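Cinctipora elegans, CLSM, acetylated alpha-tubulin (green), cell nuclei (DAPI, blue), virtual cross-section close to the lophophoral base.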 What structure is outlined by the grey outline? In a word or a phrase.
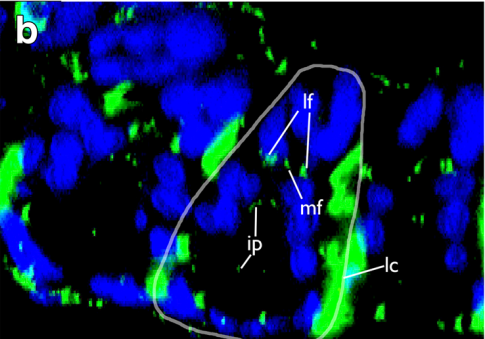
Tentacles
